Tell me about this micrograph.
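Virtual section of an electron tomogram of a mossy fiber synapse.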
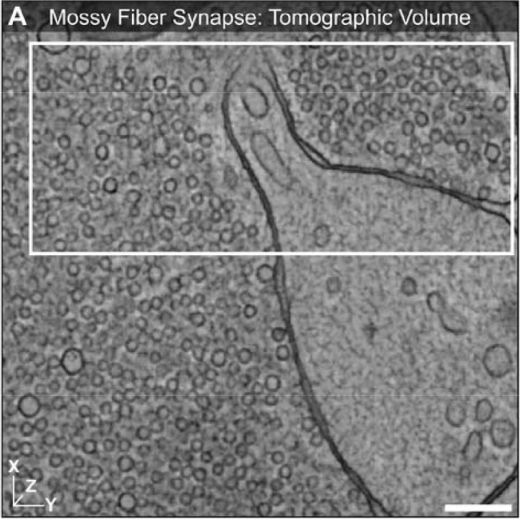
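Numerous small, round, clear vesicles with dark membranes fill large areas of the terminal and are densely packed. Dark, sharply drawn plasma membranes curve through the field, separating compartments. A few larger round or oval membrane-bound profiles lie scattered among the small vesicles. Some regions beside the membranes are nearly free of vesicles and show a fine granular cytoplasm.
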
